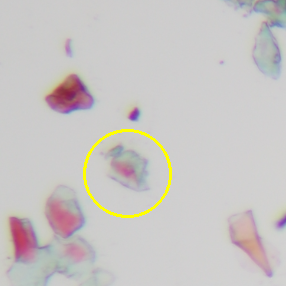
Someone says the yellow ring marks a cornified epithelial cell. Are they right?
They are not: the ring marks a nucleated epithelial cell.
